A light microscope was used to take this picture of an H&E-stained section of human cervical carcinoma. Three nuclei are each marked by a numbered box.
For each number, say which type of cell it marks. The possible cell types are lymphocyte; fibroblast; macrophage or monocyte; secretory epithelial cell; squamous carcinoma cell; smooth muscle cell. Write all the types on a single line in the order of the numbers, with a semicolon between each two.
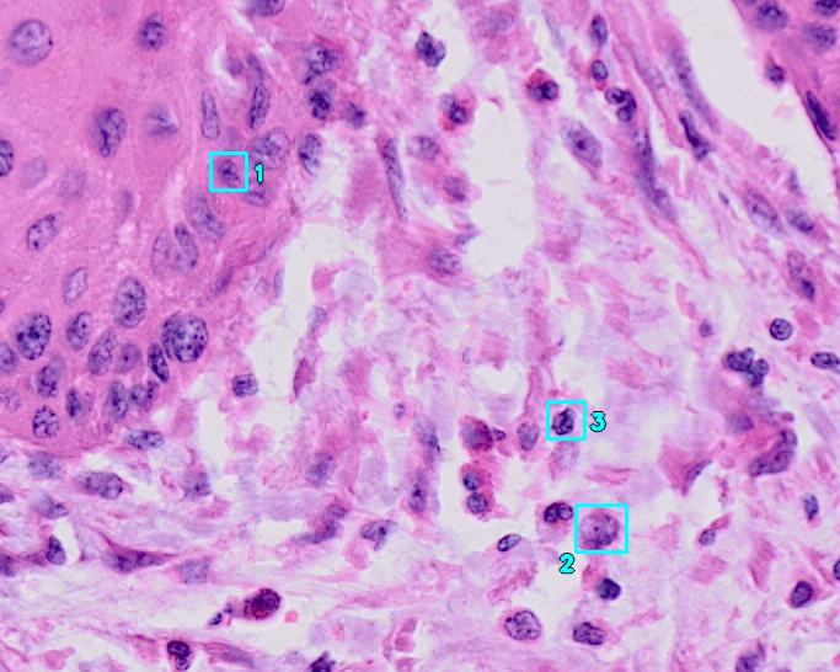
squamous carcinoma cell; macrophage or monocyte; lymphocyte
